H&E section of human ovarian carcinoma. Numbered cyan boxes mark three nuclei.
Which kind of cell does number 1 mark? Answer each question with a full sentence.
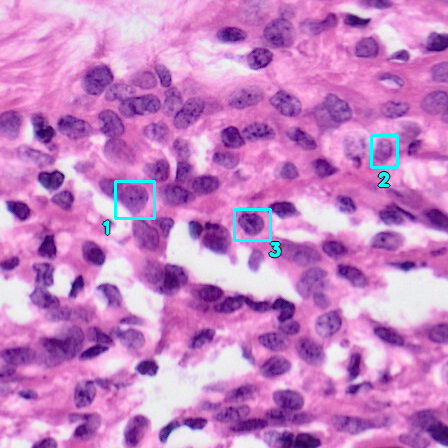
Among the marked cells, number 1 is a carcinoma cell.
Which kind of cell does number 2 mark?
In this section, the cell numbered 2 is a macrophage or monocyte.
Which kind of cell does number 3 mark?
Among the marked cells, number 3 is a macrophage or monocyte.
